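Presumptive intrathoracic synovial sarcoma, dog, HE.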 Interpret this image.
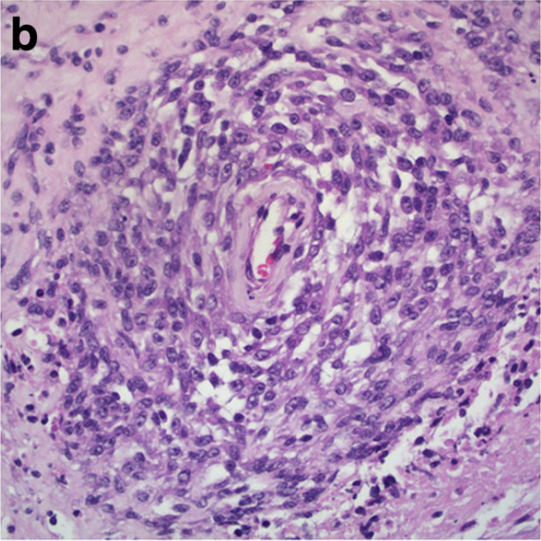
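Tumour cells with oval, dark purple nuclei are packed in concentric layers around a small blood vessel at the centre. The surrounding nuclei are crowded and lie with their long axes following the curve of the vessel, forming a whorl. Further out the cells become looser, with pale pink background and small clear spaces between them.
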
